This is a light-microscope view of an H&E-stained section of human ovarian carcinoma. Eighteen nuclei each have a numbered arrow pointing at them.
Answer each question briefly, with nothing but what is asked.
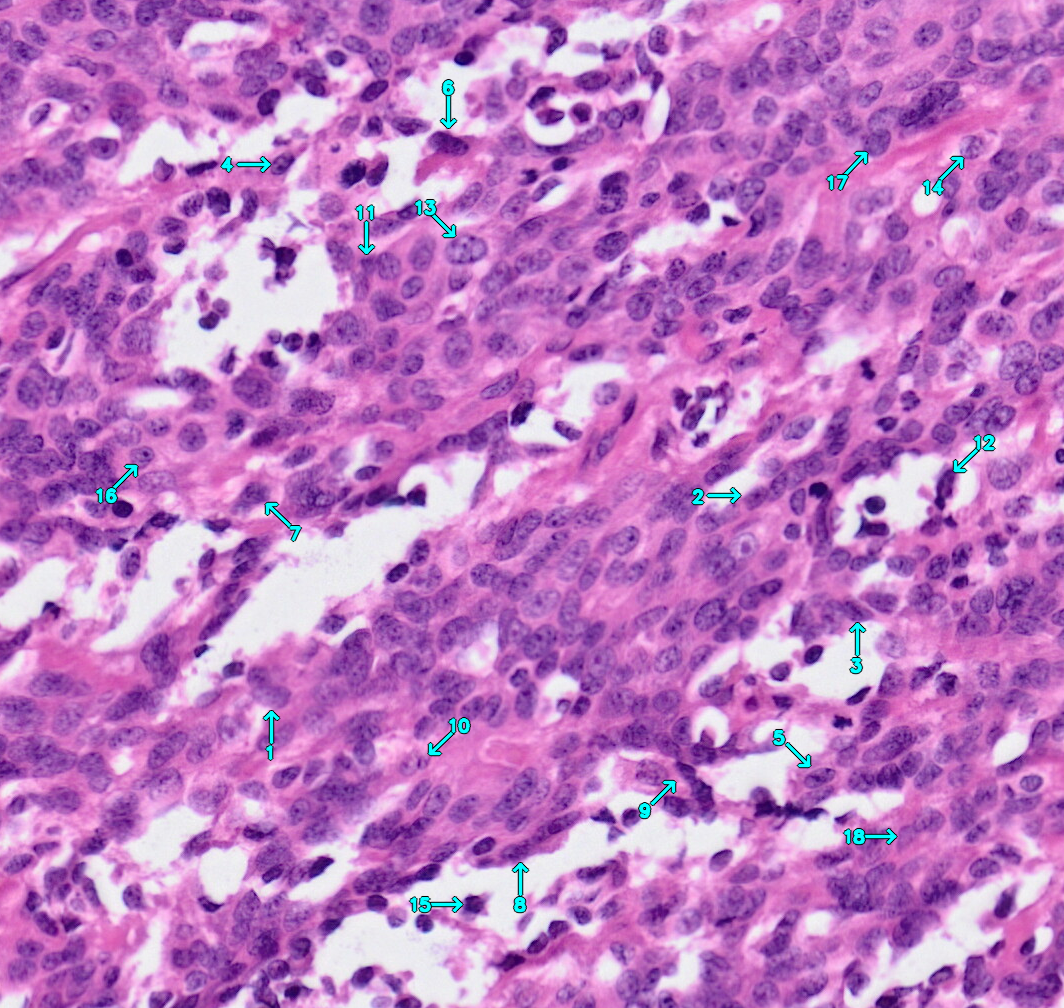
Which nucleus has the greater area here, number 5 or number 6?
6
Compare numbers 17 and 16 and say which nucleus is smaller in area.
16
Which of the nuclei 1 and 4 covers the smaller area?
4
